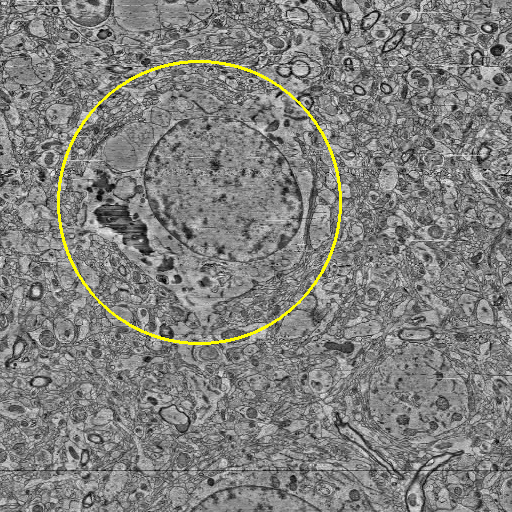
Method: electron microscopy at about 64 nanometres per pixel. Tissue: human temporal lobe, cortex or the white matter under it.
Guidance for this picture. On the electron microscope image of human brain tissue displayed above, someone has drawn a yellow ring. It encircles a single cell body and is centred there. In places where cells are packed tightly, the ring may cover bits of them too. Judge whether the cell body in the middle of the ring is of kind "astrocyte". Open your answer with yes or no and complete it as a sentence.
Yes, that kind matches the cell whose body lies at the ring's centre in the image above.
